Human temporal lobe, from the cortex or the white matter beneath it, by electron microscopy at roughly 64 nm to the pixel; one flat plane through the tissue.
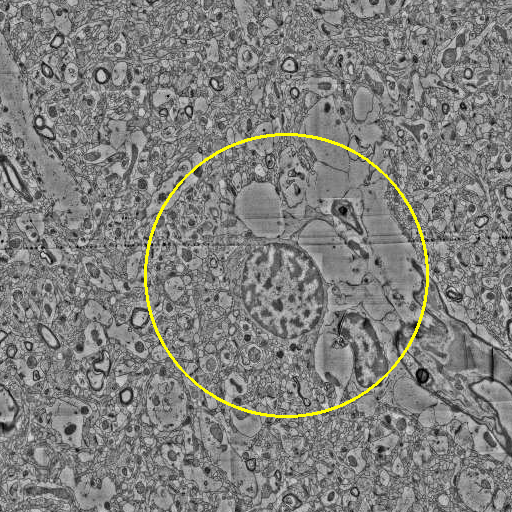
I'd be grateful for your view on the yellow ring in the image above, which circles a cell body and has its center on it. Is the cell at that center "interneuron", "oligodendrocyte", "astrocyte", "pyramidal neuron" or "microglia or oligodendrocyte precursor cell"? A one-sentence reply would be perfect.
The cell at the center of the yellow ring is an oligodendrocyte.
